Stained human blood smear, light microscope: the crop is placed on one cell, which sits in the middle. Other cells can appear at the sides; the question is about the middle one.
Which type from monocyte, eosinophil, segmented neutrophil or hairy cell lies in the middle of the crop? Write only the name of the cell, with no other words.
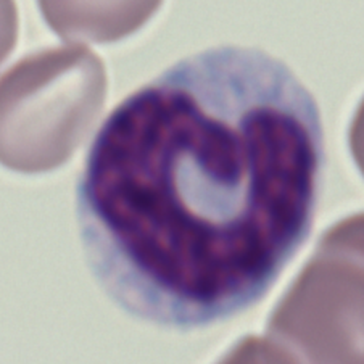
monocyte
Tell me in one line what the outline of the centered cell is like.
No projections interrupt the outline; it is smooth all the way round.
